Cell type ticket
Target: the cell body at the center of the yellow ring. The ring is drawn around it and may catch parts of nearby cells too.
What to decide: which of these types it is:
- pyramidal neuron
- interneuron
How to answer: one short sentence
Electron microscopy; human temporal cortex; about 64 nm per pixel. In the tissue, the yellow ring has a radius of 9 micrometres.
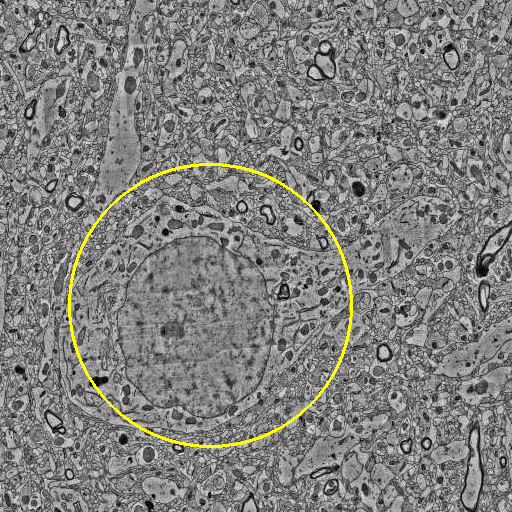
The cell at the center of the ring is an interneuron.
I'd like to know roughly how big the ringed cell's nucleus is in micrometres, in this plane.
In this plane the nucleus measures roughly 12 by 10 micrometres.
